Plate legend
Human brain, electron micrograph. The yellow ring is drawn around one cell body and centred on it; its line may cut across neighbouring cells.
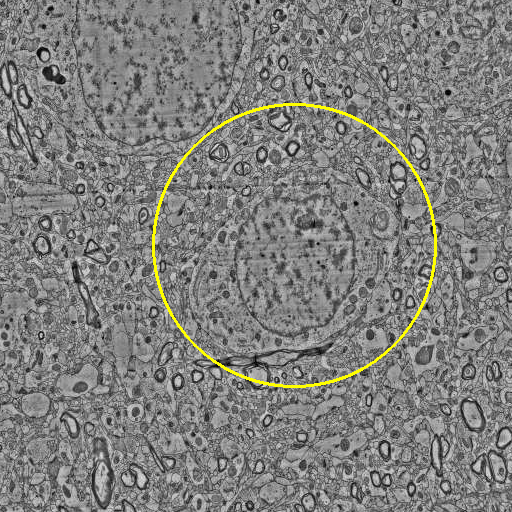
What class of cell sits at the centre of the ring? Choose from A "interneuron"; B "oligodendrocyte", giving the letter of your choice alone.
A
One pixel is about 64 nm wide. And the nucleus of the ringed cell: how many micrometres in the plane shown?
About 9 by 8 micrometres in this plane.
